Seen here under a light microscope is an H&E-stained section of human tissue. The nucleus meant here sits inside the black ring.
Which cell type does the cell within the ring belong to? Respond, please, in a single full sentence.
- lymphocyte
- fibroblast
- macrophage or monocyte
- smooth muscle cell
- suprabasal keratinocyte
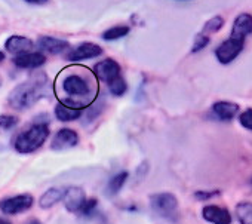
In the stained section, the cell within the ring is a lymphocyte.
